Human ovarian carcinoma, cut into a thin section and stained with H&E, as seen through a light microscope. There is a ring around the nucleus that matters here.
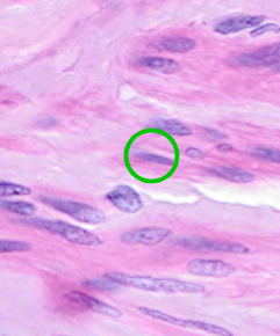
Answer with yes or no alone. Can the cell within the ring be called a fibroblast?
no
